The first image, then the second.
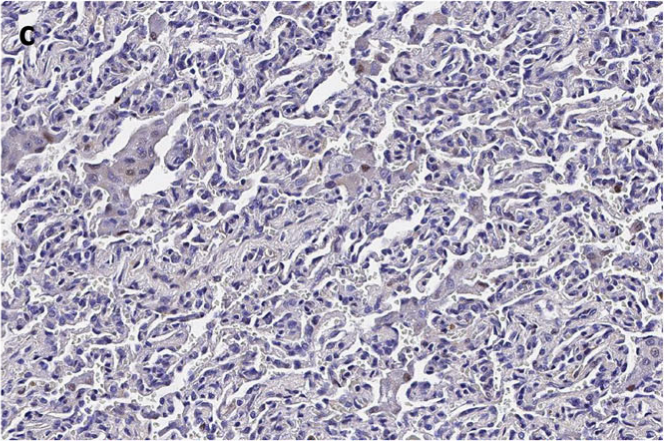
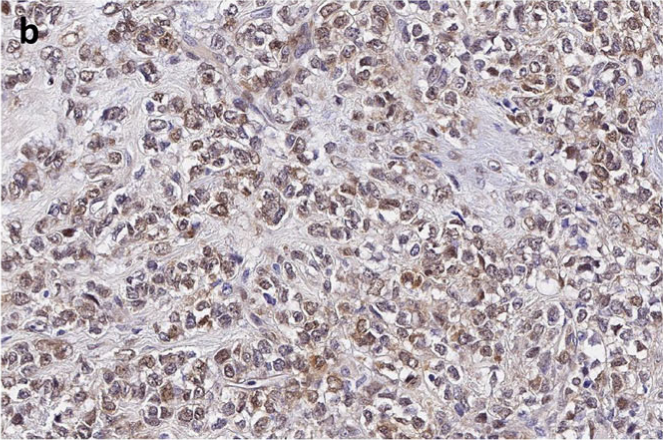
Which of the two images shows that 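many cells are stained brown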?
The second image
